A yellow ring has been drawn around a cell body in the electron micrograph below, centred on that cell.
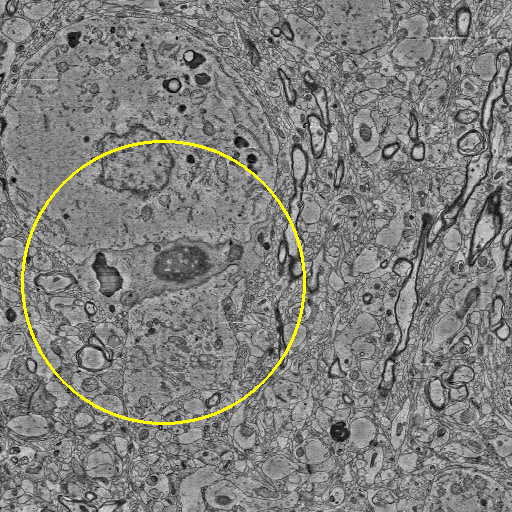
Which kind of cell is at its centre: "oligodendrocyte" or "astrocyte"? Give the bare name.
oligodendrocyte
